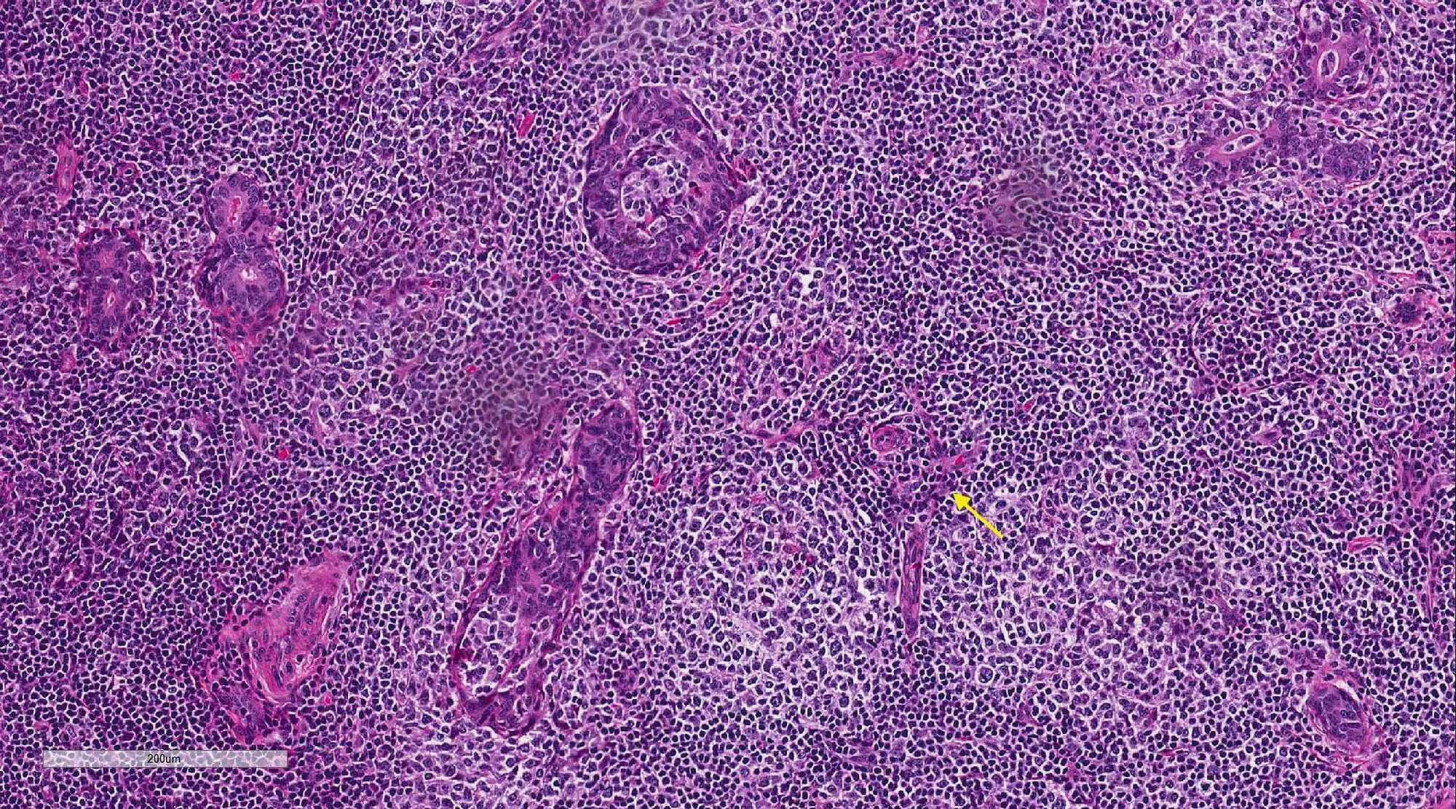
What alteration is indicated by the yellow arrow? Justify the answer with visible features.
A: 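A small epithelial cluster at the arrow tip is surrounded and penetrated by small dark lymphocytes. Several other epithelial nests and ducts with pink cytoplasm lie embedded within the dense lymphoid cell sheets.
Infiltration of epithelial structures.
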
